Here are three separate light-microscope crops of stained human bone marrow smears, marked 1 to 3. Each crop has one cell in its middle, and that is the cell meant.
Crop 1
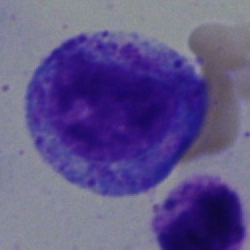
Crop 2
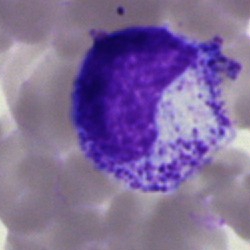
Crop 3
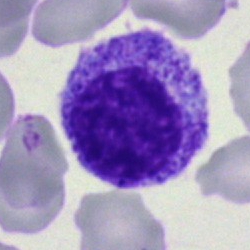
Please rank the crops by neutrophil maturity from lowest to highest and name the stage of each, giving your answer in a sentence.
The maturity sequence, least mature to most mature, is crop 1 (a promyelocyte), crop 3 (a myelocyte) and crop 2 (a metamyelocyte).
